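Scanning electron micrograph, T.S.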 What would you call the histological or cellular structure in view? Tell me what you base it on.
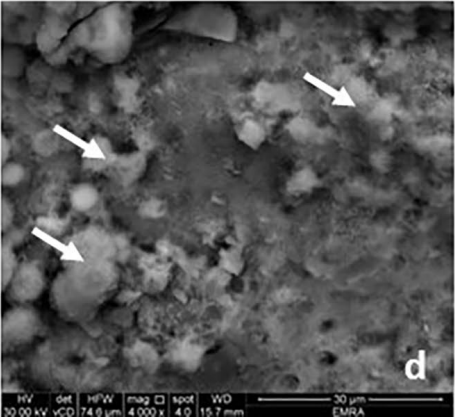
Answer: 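Rounded lumpy masses of varying size lie on the surface. The masses appear as bright rounded clusters. On this evidence: globular or vesicular shape.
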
